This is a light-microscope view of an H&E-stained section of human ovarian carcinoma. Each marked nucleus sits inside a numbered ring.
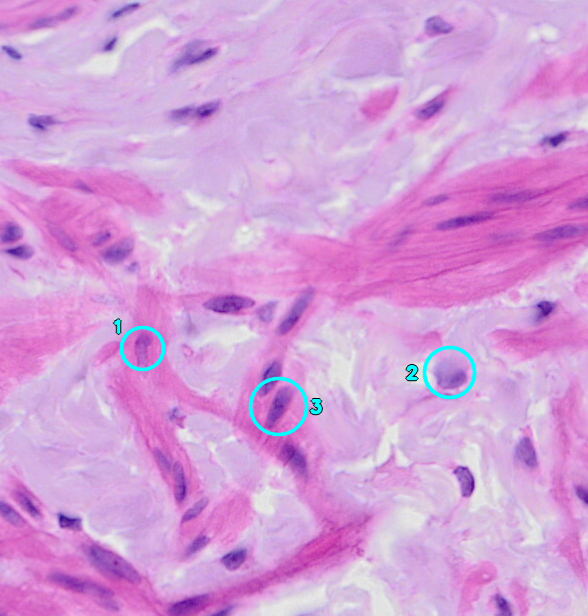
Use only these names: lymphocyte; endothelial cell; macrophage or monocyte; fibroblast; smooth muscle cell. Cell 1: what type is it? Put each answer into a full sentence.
It is as a smooth muscle cell that the cell numbered 1 is identified.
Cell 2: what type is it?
The cell with the number 2 is a fibroblast.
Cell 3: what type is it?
The cell that bears the number 3 is a smooth muscle cell.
